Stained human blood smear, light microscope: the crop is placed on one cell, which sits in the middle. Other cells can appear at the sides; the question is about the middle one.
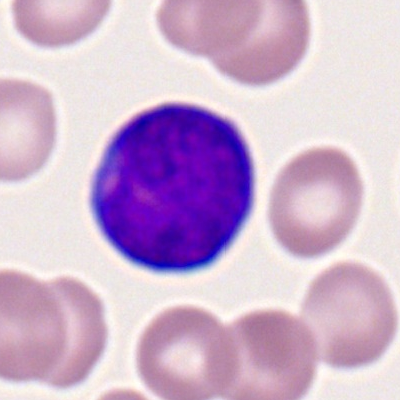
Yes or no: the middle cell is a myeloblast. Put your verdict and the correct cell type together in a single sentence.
Yes, the middle cell is properly termed a myeloblast.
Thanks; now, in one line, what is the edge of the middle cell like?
Happy to help: the outline is smooth and shows no projections.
